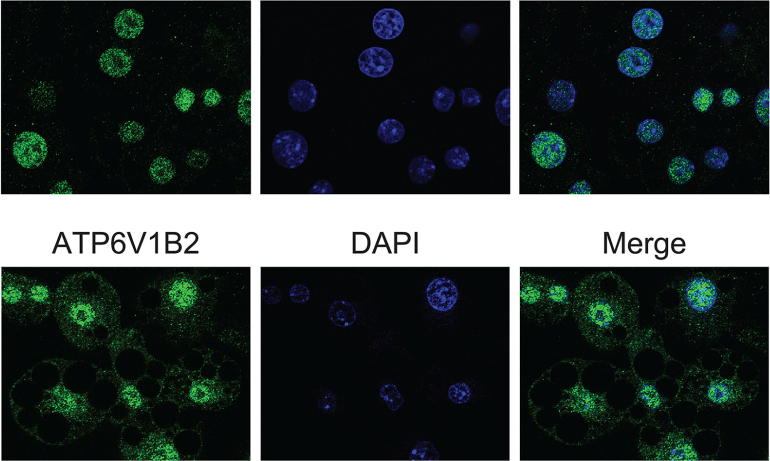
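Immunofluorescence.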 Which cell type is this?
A: Mature adipocytes.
